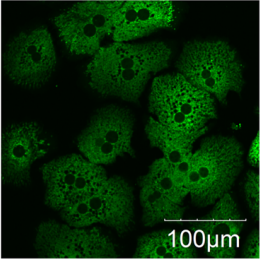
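These are cultured liver cells, hepatocytes: large, flat, polygonal cells whose cytoplasm is filled with a fine, granular green staining. Their round nuclei stay unstained and show as dark holes, and several cells carry two of them. The cells lie close together, and small dark dots are scattered through the green cytoplasm.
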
